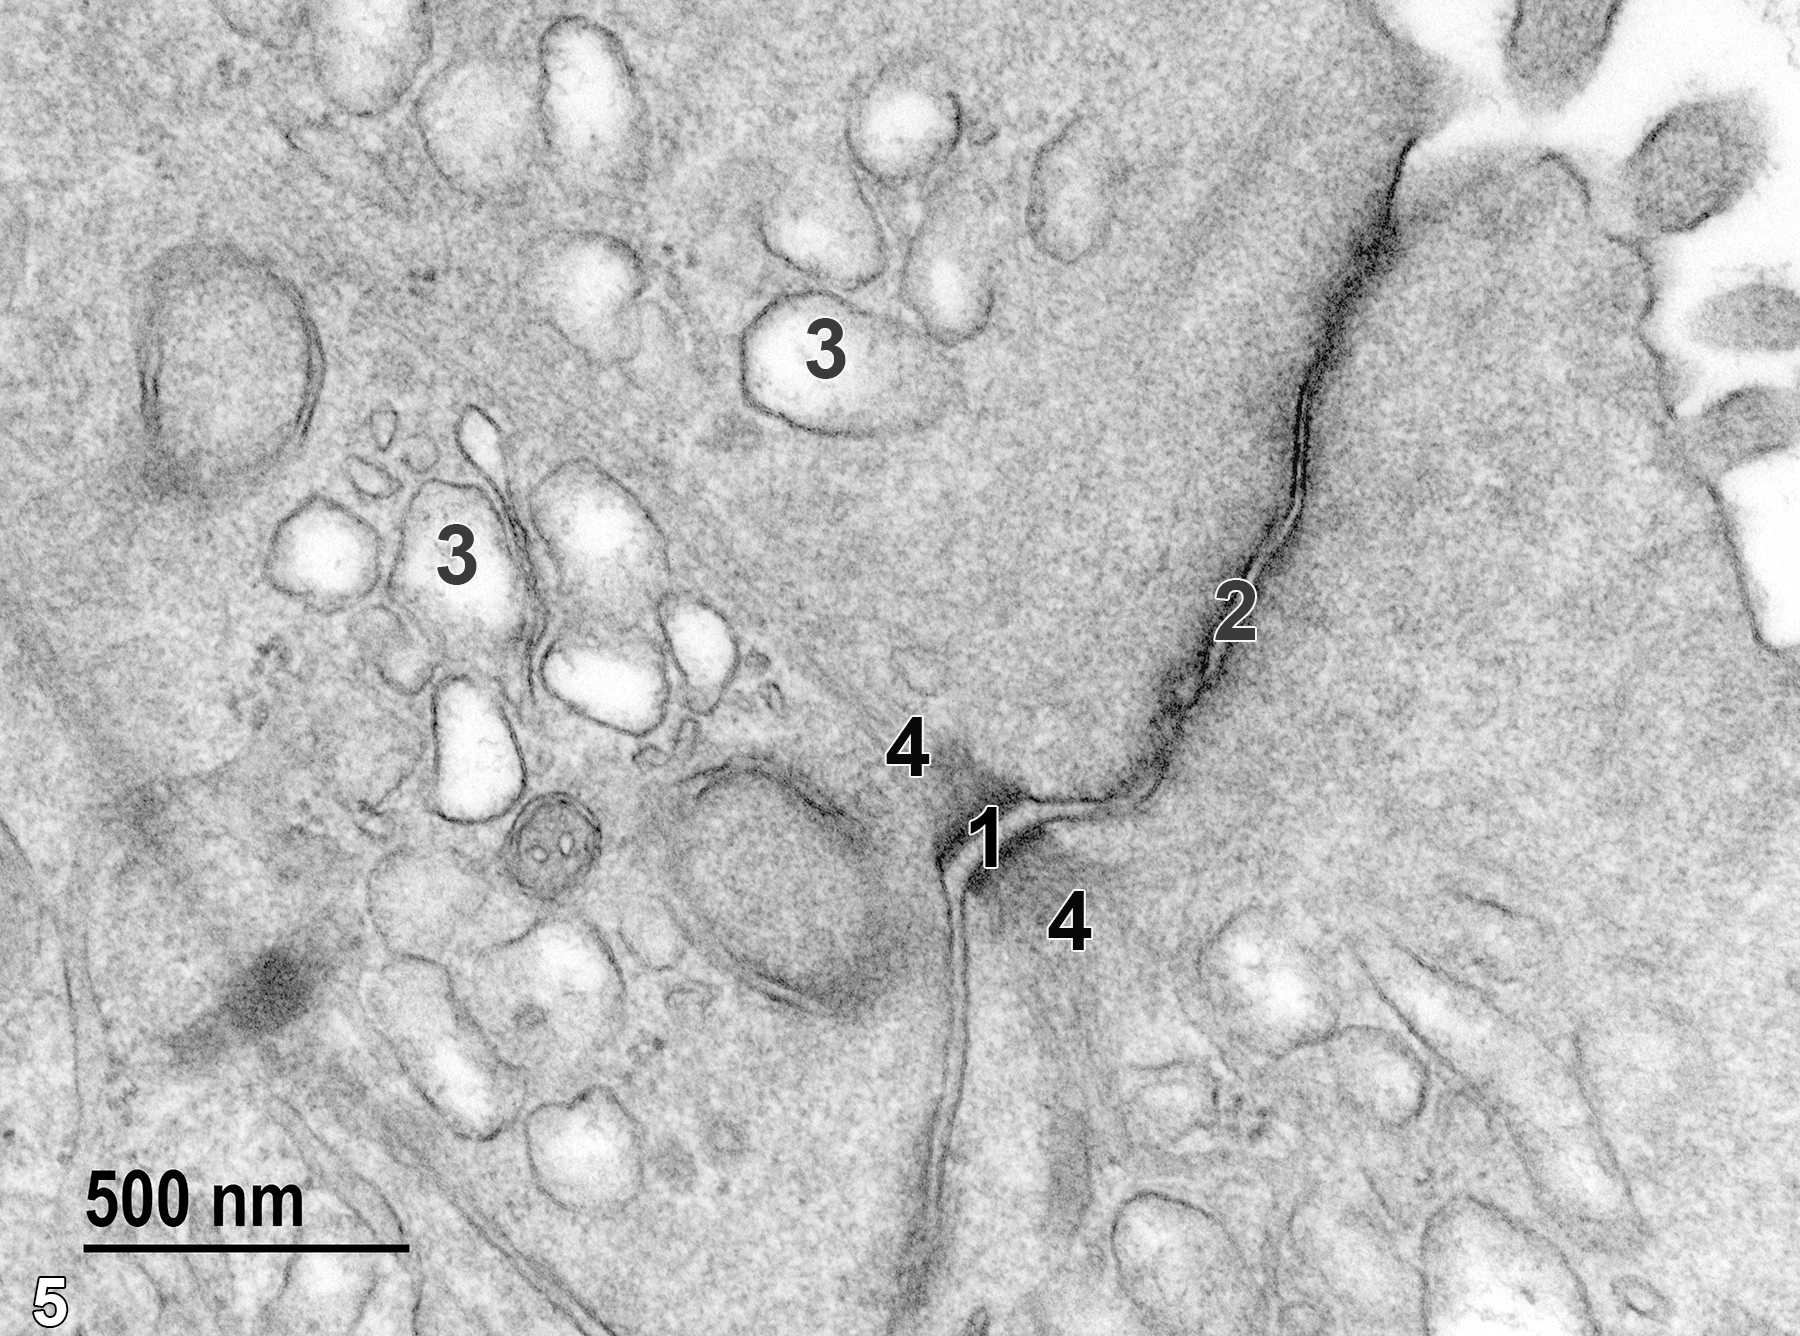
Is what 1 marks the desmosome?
Yes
